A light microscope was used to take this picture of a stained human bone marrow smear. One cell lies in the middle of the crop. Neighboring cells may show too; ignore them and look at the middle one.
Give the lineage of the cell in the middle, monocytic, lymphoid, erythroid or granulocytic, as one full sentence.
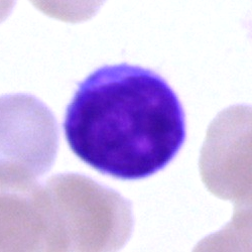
The correct lineage for the cell at the center is the lymphoid one.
